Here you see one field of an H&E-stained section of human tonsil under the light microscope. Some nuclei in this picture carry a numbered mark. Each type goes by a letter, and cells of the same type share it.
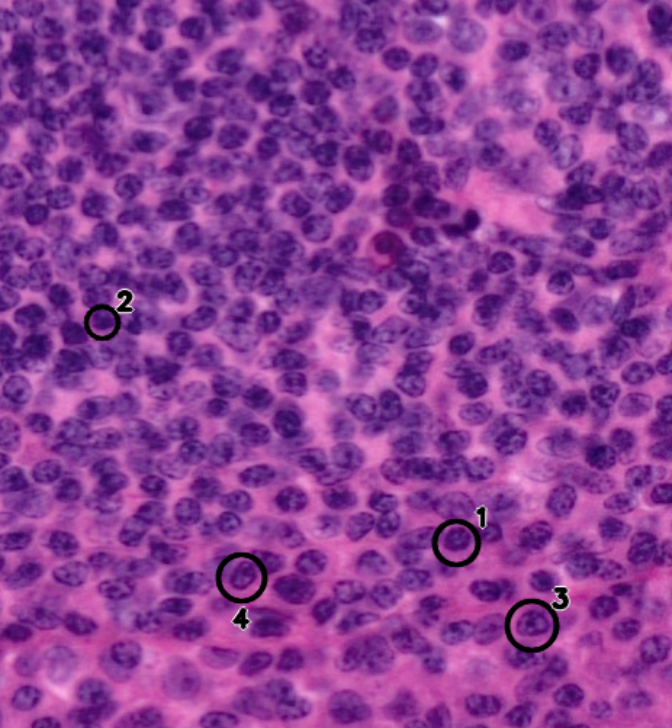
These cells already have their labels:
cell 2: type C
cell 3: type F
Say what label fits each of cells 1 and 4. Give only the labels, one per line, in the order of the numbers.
type F
type F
